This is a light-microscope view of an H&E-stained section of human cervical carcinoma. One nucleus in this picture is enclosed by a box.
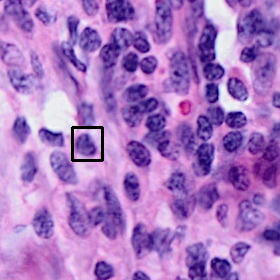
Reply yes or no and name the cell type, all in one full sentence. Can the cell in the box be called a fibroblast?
No, score the cell in the box as a lymphocyte; it is not a fibroblast.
